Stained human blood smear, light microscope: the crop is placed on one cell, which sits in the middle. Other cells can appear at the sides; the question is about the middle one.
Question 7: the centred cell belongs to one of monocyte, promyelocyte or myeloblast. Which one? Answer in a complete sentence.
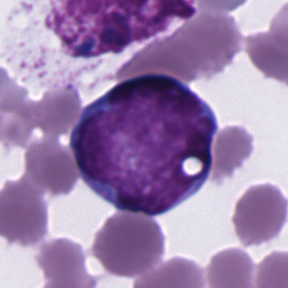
As for the cell in the middle, it is a myeloblast.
